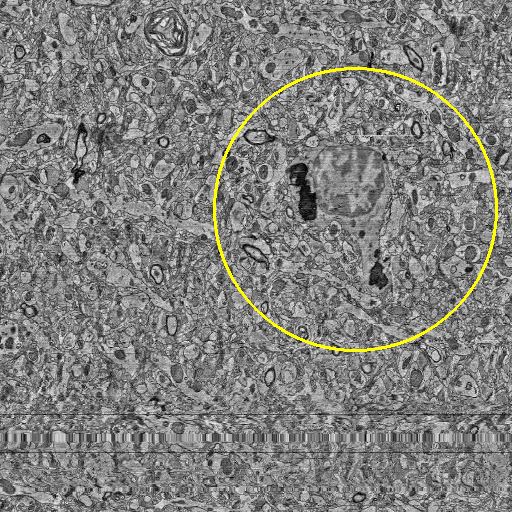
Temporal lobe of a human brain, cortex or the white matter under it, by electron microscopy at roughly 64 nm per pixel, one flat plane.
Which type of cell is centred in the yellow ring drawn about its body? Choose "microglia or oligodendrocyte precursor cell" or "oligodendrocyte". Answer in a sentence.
The yellow ring surrounds the cell body of an oligodendrocyte.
